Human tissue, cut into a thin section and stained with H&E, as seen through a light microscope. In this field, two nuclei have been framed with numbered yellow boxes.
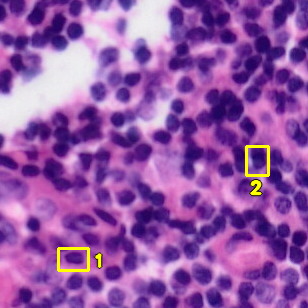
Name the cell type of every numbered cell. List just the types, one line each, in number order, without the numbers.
endothelial cell
small lymphocyte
